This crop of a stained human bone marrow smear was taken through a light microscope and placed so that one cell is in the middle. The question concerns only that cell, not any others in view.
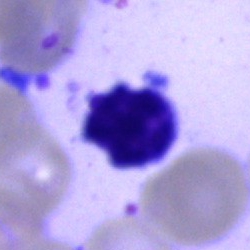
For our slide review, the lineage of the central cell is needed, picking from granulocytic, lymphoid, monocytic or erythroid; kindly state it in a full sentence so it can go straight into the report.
On lineage, the cell in the middle of the crop is lymphoid.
